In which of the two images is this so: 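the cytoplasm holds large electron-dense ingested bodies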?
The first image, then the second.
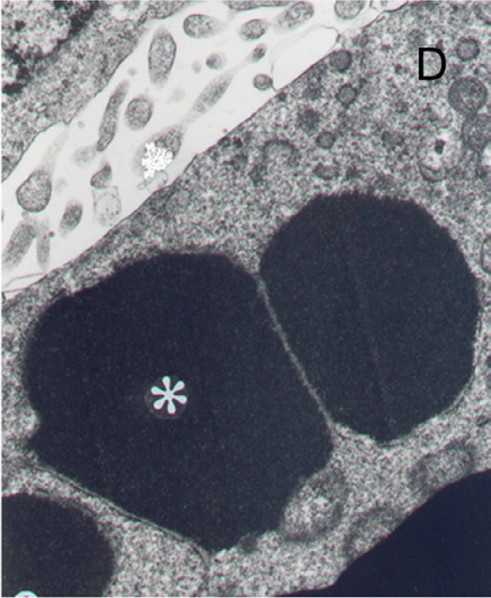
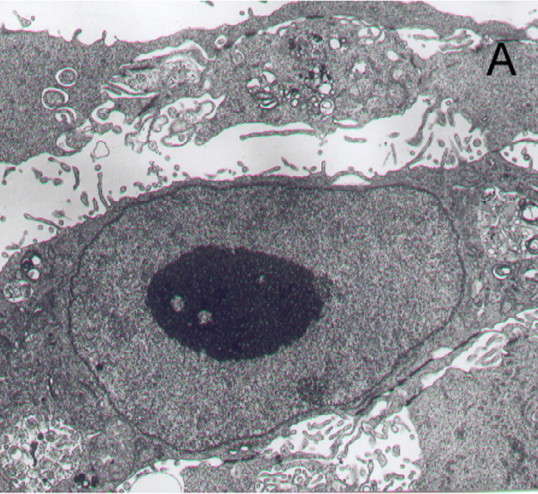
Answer: The first image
